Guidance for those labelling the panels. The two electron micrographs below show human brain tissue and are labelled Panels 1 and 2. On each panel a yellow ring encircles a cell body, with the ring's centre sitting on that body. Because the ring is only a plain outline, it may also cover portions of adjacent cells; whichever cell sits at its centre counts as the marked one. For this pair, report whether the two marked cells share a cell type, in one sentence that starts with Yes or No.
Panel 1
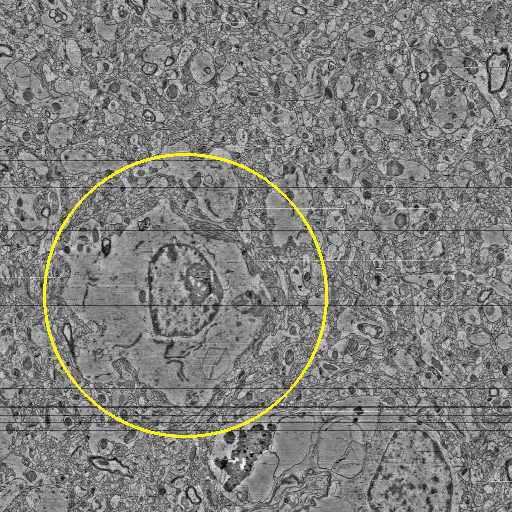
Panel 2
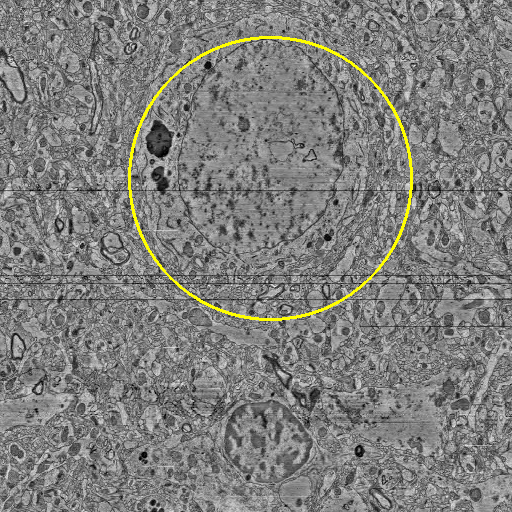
No, in Panel 1 and Panel 2 the marked cells at the ring centres are of two types.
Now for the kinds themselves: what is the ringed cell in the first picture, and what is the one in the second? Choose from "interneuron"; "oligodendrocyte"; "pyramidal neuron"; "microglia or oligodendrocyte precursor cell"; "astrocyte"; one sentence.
Here the first cell is an astrocyte and the second cell is a pyramidal neuron.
